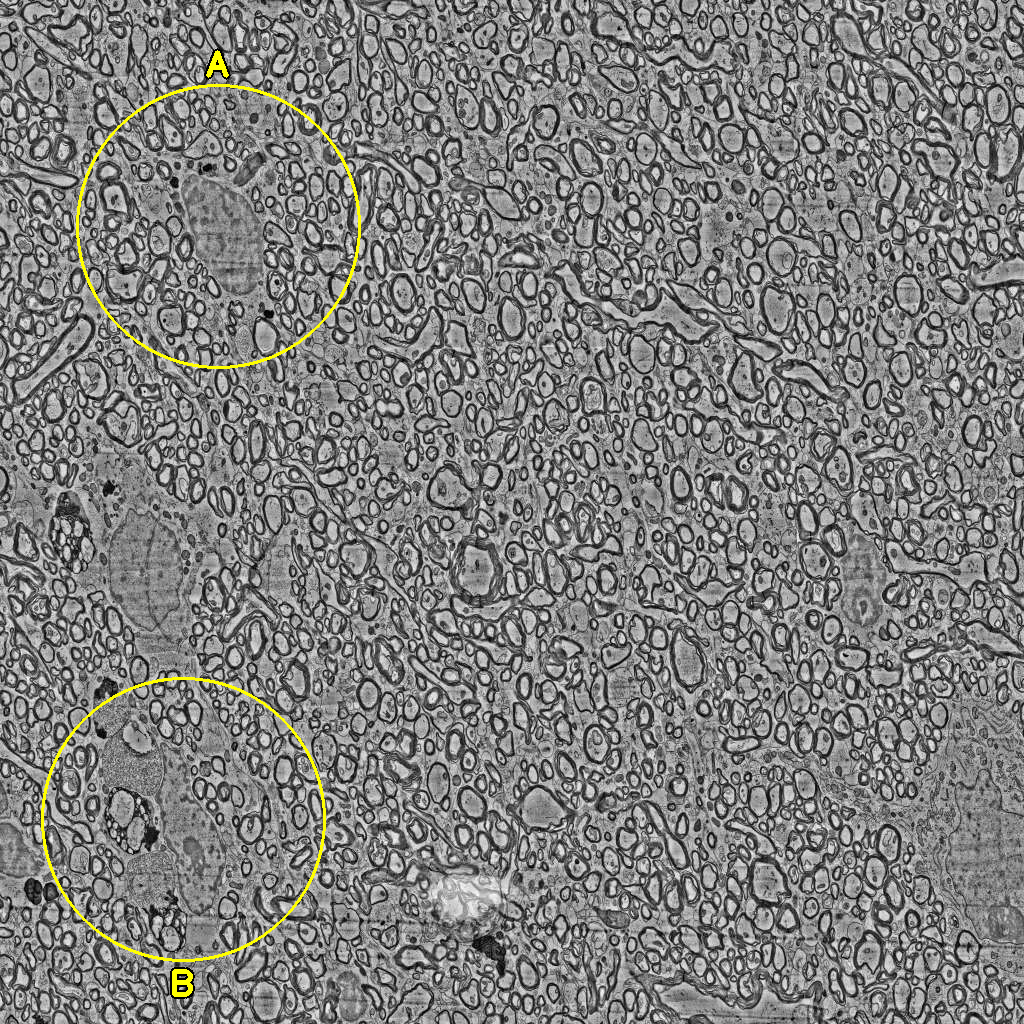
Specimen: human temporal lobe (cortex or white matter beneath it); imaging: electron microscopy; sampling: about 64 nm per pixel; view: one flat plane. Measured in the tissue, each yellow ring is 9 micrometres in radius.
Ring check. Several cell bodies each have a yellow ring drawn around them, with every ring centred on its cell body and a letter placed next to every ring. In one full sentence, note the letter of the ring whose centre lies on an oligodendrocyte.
At the centre of ring A lies the cell asked for in this check.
